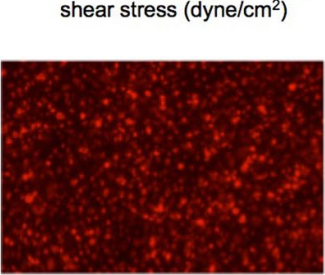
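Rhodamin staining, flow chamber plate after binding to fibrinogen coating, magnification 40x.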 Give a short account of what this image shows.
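The dots are small and fairly even in size, and no nuclei or inner structure can be made out in them. They cover the whole field densely and fairly evenly, as a single scattered layer, with a few lying close together in small groups.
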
